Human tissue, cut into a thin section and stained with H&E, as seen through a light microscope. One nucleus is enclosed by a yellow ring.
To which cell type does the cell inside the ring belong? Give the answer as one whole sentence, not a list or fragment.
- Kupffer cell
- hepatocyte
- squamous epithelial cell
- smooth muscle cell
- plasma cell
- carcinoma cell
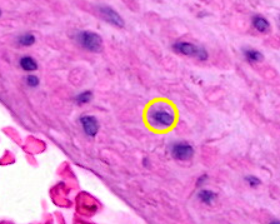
Labelled by cell type, the cell inside the ring is a smooth muscle cell.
